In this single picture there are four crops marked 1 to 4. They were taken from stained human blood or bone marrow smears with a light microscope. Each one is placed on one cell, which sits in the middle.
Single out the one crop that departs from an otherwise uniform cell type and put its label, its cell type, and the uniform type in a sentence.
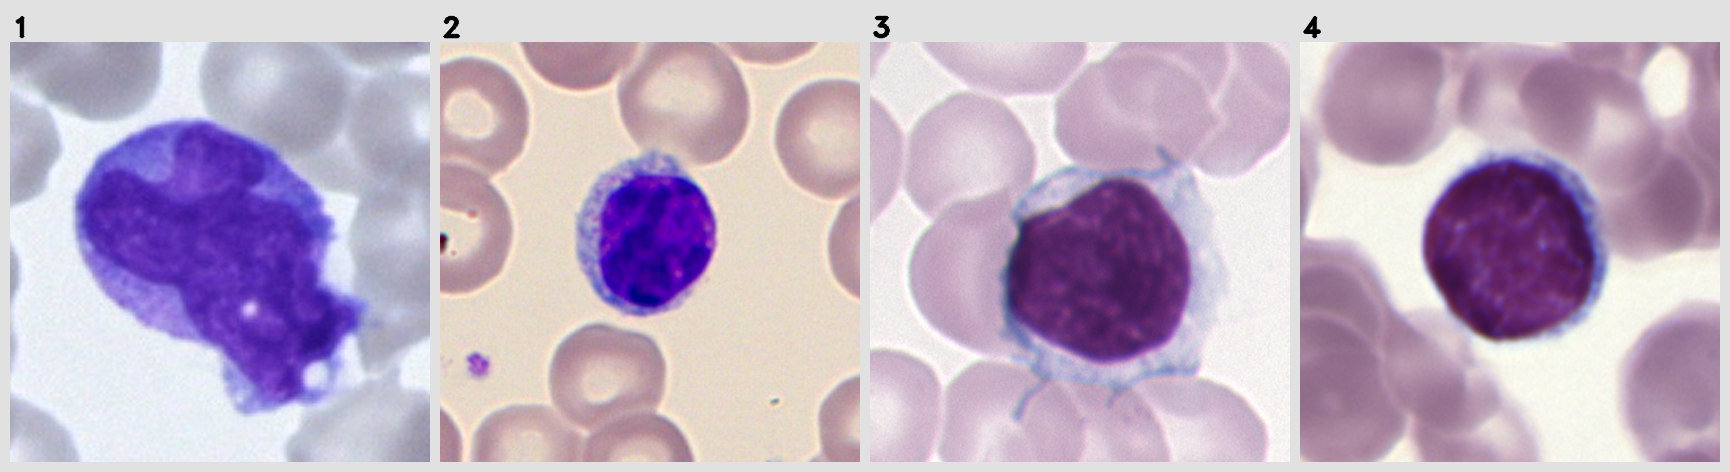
Of these crops, only crop 1 is a monocyte; the others are lymphocytes.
